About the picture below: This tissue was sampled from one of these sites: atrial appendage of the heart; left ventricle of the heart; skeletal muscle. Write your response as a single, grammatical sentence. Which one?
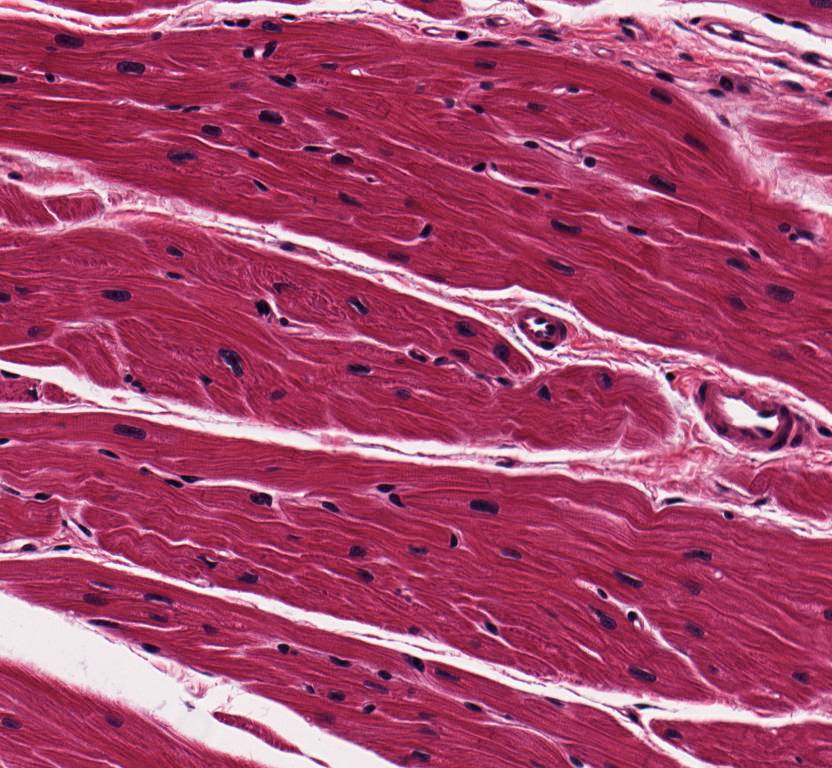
The site sampled for this tissue was the atrial appendage of the heart.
